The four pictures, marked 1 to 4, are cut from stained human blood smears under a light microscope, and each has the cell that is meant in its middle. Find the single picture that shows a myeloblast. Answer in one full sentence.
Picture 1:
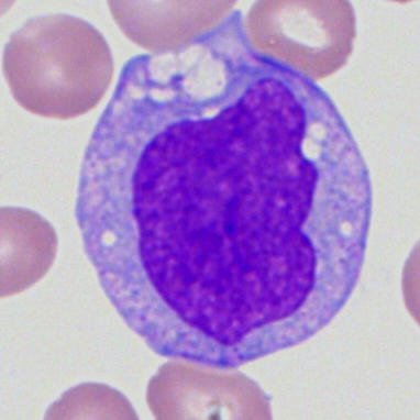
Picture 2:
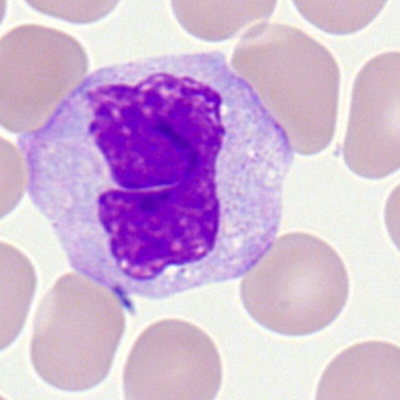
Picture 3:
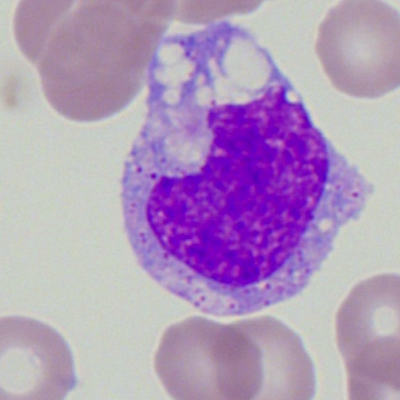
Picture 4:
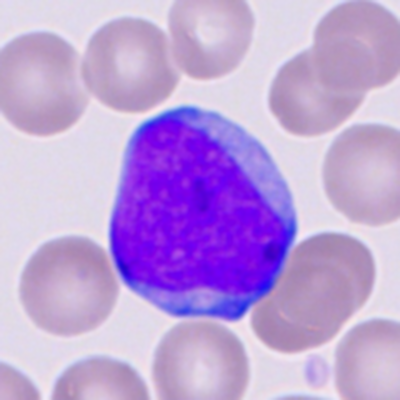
Picture 4 shows the myeloblast.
